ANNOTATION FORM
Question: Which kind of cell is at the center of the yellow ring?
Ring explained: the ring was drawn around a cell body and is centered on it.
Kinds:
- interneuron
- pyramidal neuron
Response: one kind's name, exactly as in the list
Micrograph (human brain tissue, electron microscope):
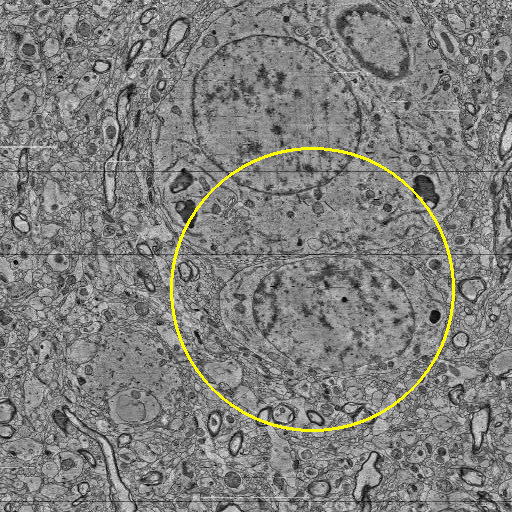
interneuron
